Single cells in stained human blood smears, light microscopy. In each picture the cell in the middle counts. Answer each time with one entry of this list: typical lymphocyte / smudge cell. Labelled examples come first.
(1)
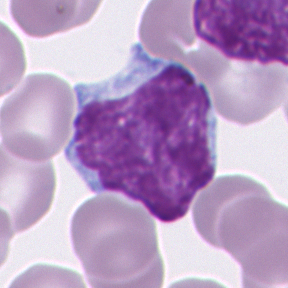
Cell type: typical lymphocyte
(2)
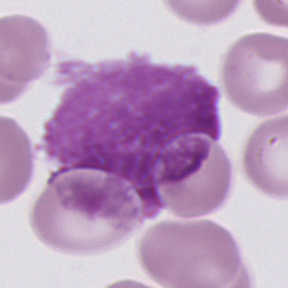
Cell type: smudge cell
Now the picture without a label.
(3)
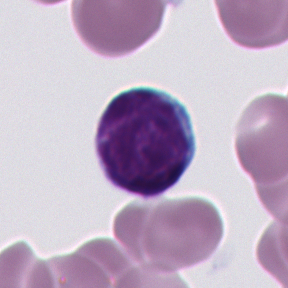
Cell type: typical lymphocyte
